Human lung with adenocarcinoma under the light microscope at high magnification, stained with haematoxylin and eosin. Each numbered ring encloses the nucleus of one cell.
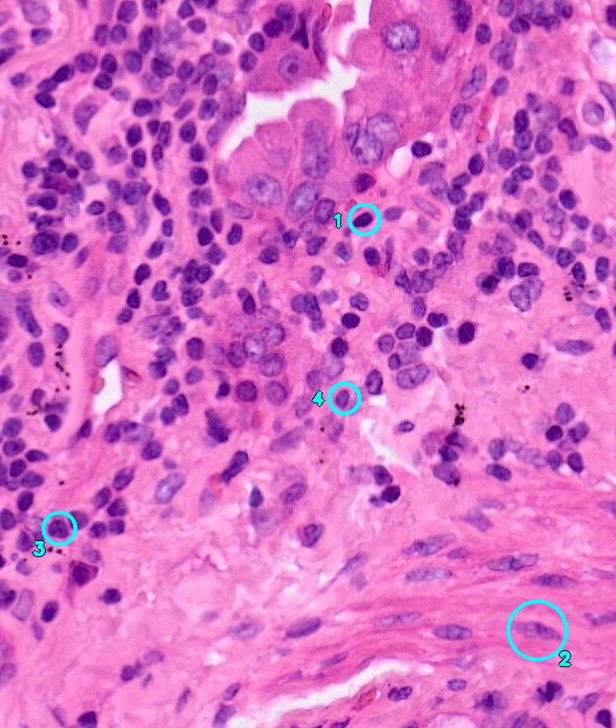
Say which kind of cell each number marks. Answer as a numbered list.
1. lymphocyte
2. smooth muscle cell or pericyte
3. lymphocyte
4. lymphocyte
